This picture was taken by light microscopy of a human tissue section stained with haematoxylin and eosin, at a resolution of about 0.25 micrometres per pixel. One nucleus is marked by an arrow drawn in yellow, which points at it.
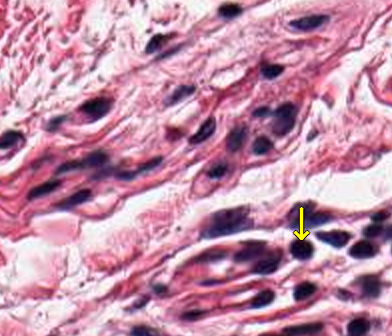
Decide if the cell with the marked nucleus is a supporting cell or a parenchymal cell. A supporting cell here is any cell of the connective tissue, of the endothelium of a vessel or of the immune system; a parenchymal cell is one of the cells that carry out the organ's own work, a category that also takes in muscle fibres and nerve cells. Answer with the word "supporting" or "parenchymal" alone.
supporting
